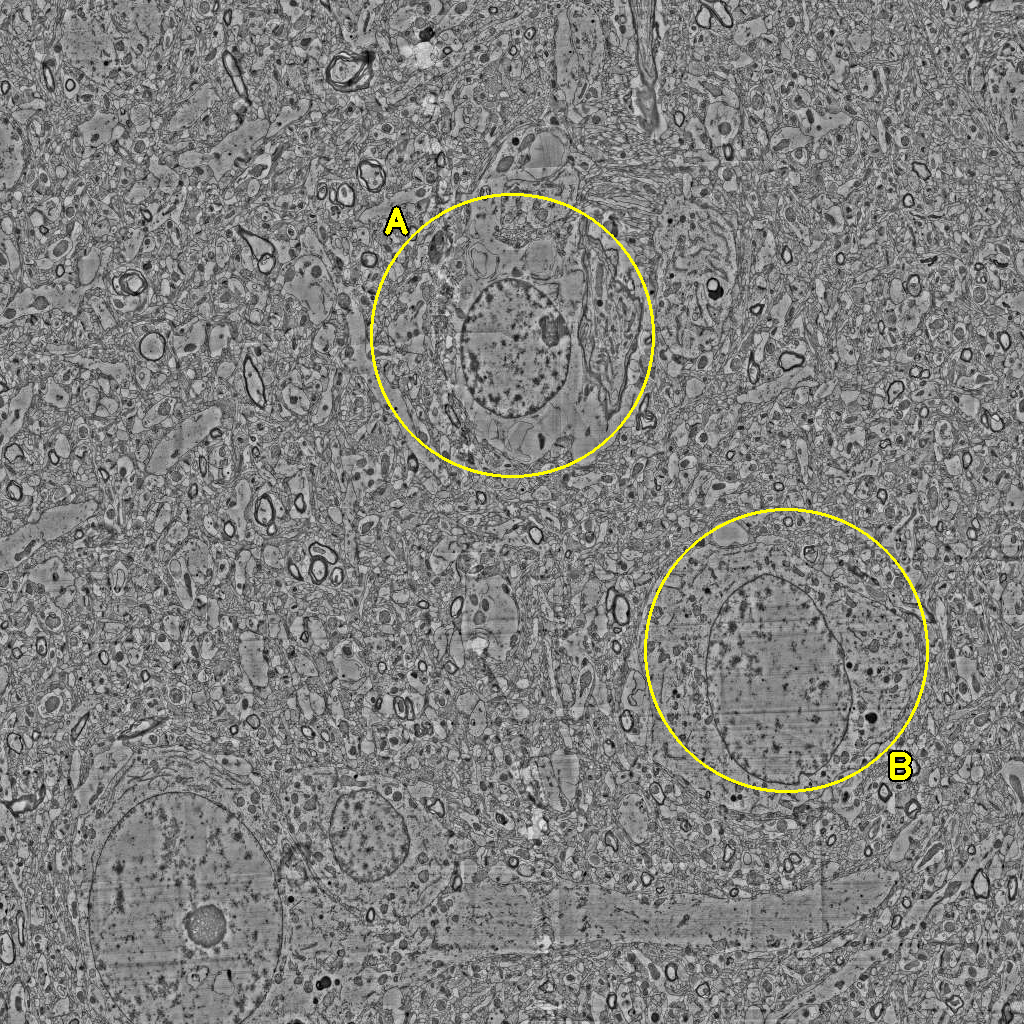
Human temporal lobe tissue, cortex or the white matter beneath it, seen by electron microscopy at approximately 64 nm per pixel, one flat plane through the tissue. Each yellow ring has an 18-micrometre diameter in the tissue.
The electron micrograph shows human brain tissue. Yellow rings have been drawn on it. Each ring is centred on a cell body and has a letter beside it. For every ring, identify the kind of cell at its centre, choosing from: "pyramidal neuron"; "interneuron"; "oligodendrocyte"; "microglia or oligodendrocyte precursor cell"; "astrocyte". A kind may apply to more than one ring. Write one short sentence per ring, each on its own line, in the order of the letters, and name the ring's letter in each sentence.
Ring A is centred on an astrocyte.
Ring B is centred on a pyramidal neuron.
